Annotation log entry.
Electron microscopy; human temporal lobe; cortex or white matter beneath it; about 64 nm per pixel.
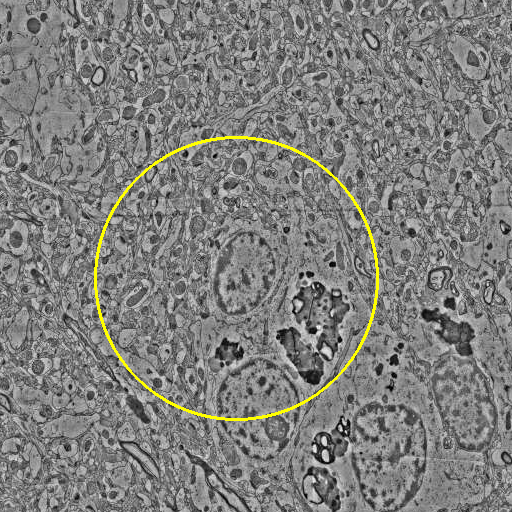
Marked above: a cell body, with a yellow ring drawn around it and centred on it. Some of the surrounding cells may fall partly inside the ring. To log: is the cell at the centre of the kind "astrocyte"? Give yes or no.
Yes, the cell at the centre is of that kind.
